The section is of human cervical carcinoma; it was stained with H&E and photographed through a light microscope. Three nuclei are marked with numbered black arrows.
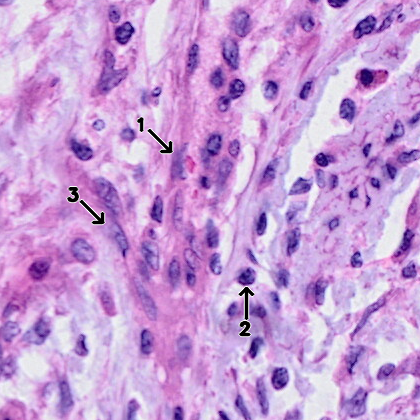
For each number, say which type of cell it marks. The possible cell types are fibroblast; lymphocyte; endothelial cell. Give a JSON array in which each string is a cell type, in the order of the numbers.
["endothelial cell", "lymphocyte", "endothelial cell"]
